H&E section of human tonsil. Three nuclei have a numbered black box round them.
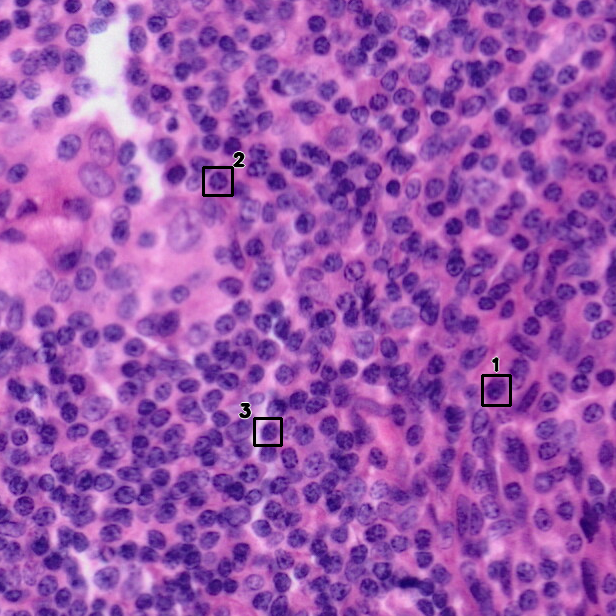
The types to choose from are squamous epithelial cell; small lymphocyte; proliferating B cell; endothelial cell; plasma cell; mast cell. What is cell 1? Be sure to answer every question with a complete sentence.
The label 1 in this section denotes a plasma cell.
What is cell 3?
The marked cell bearing number 3 is a small lymphocyte.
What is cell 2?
Nucleus 2 in this section belongs to a plasma cell.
